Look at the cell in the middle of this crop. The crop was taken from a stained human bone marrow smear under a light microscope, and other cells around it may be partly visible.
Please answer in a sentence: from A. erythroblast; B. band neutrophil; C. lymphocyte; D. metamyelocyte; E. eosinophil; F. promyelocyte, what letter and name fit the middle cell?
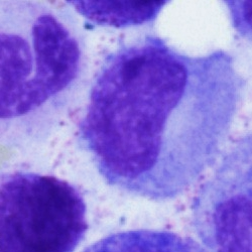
Option D is right, the centrally situated cell being a metamyelocyte.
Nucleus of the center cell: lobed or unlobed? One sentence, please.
If you check the nucleus, you will find one compact mass, round, oval or kidney-shaped.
